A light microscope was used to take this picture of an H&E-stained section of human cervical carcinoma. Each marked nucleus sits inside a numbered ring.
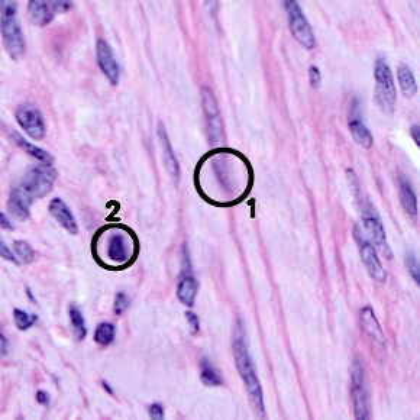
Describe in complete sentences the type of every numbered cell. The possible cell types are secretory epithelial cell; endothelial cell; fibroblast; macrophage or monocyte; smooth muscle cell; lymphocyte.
Cell 1 is a smooth muscle cell and cell 2 is a lymphocyte.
